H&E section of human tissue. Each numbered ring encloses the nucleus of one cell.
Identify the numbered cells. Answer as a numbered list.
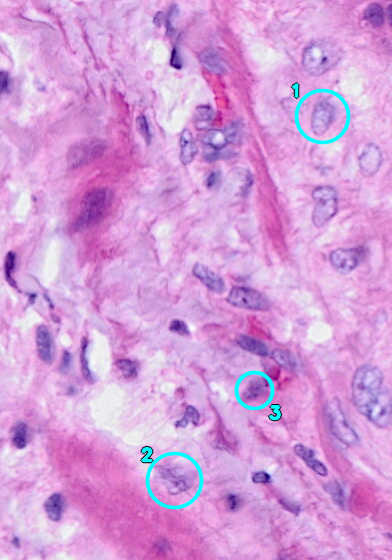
1. fibroblast
2. fibroblast
3. endothelial cell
